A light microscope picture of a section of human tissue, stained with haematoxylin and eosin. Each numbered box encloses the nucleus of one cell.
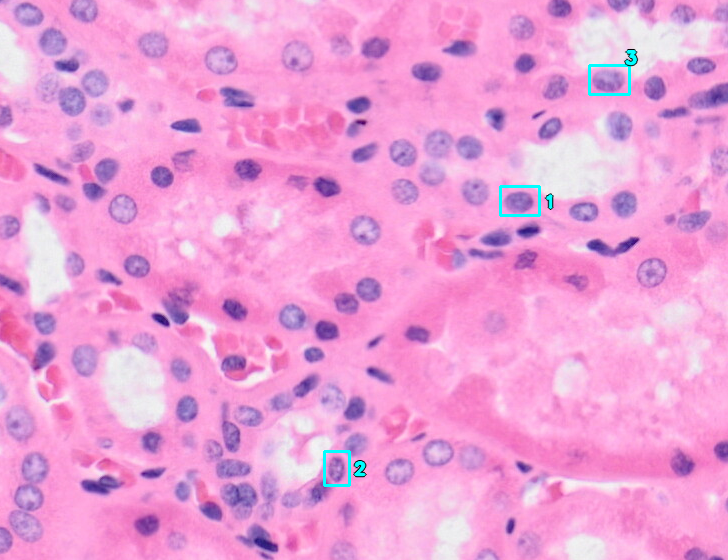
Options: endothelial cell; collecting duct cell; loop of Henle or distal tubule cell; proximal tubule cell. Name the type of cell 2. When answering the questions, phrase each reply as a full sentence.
In this section, the cell tagged 2 is a collecting duct cell.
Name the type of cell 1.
In this section, the cell numbered 1 is a loop of Henle or distal tubule cell.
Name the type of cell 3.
In the tissue shown, cell 3 is a loop of Henle or distal tubule cell.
